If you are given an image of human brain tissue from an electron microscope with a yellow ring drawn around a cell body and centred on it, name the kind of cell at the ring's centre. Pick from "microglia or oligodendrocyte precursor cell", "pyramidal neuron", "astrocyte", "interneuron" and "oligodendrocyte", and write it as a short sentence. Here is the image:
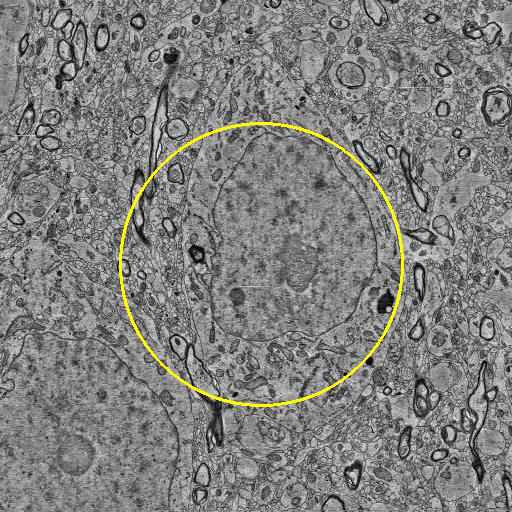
The cell at the ring's centre is an interneuron.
